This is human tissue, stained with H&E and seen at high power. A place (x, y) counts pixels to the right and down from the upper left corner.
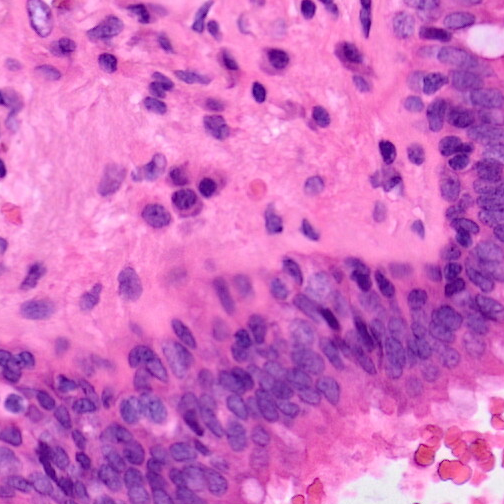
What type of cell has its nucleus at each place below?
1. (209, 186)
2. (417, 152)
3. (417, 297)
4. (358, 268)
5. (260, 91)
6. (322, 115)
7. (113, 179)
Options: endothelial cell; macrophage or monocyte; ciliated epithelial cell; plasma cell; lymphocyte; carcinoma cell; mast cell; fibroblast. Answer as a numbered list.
1. plasma cell
2. lymphocyte
3. ciliated epithelial cell
4. ciliated epithelial cell
5. mast cell
6. mast cell
7. fibroblast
